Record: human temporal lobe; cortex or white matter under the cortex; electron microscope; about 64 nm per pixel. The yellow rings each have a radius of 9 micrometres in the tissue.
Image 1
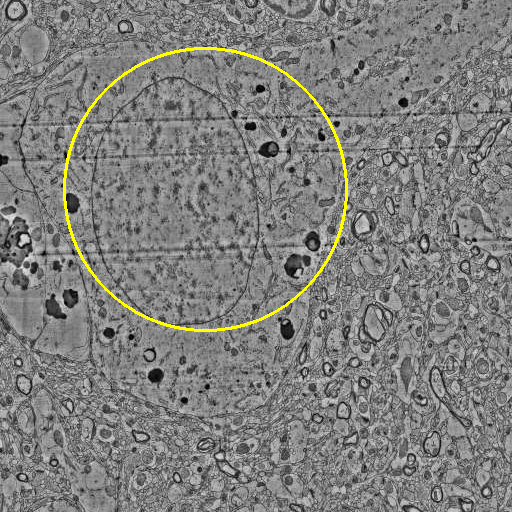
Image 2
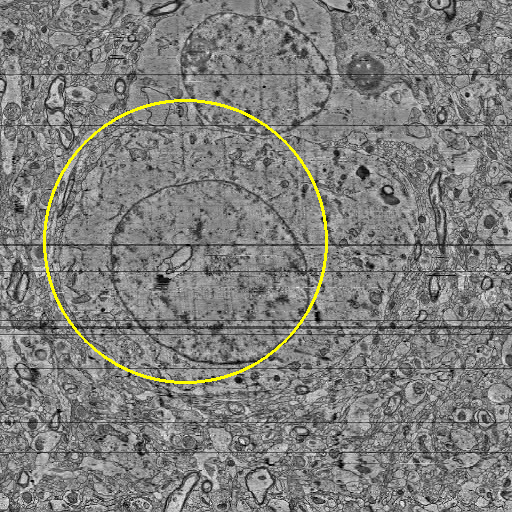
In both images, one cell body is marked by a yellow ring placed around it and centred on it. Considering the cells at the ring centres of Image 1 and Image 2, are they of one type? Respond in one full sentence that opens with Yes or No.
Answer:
Yes, a single type applies to the ring-centred cells of both Image 1 and Image 2.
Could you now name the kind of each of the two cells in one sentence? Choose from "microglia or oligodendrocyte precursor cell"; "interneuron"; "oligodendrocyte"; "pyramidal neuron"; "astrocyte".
In the first picture and in the second, the ring is centred on a pyramidal neuron.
